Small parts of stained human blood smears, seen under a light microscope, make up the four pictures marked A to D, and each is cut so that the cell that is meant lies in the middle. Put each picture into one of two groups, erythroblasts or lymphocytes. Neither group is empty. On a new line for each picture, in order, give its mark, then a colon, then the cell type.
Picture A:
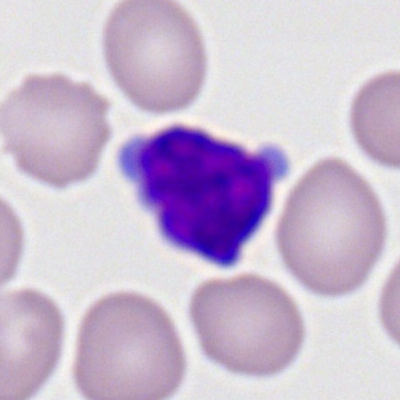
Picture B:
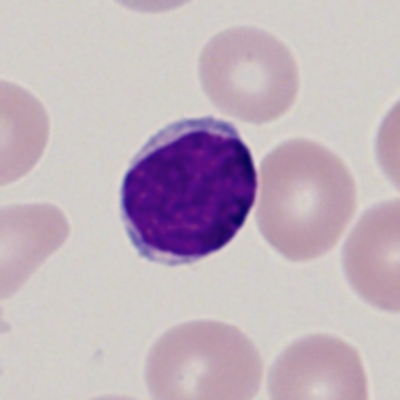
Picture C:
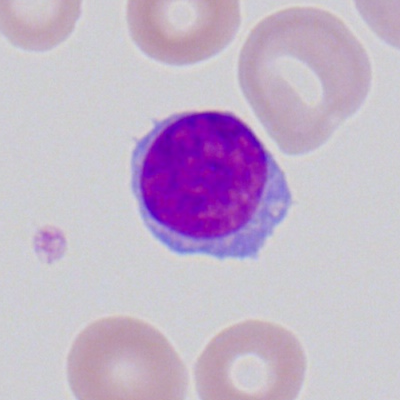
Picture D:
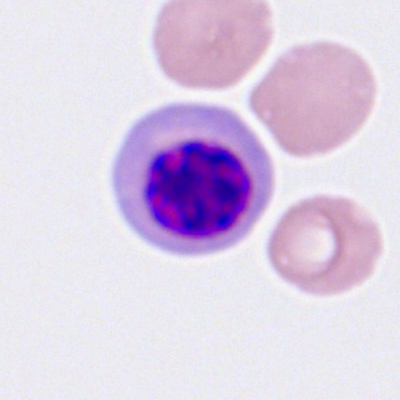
A: lymphocyte
B: lymphocyte
C: lymphocyte
D: erythroblast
